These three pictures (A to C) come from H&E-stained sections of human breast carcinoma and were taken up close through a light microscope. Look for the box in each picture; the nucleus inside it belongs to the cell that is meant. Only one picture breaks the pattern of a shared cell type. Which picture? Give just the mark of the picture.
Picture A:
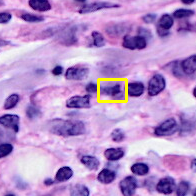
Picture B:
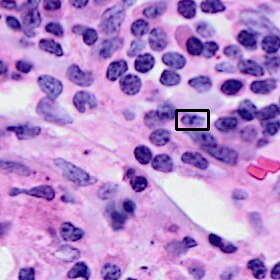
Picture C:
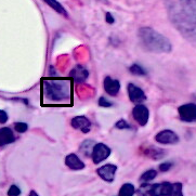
C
